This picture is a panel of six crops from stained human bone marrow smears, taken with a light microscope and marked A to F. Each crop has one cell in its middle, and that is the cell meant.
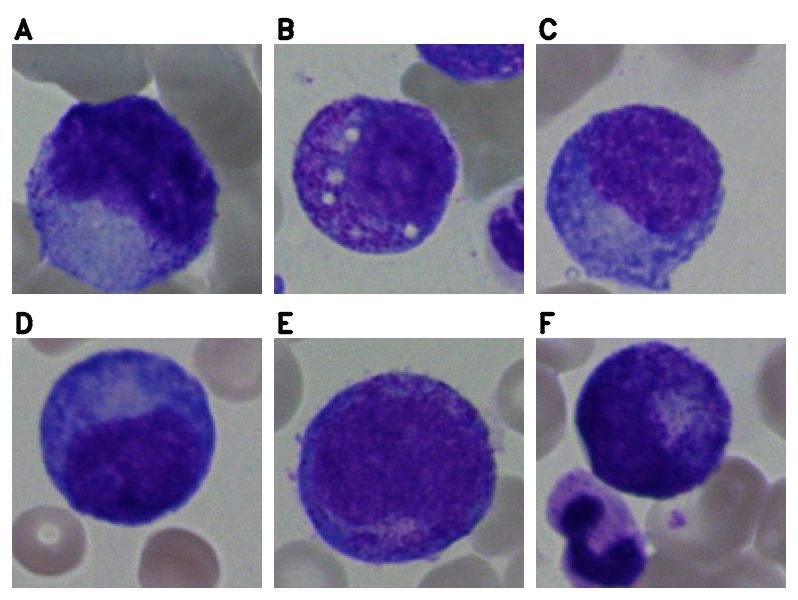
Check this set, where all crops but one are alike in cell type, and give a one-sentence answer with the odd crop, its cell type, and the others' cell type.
Crop B alone shows a myelocyte; the other crops are all promyelocytes.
